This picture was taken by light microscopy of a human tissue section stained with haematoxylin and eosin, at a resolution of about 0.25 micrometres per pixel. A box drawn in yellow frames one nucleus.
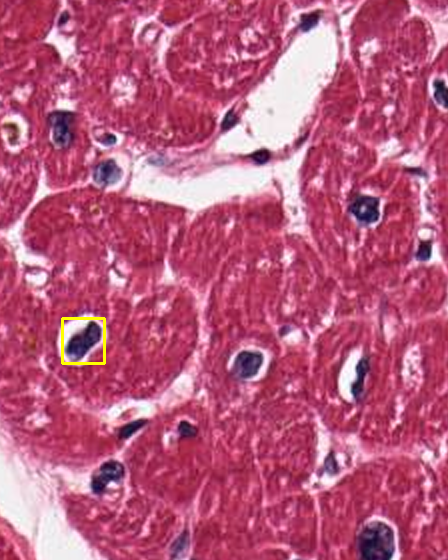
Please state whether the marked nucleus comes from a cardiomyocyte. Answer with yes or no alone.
yes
